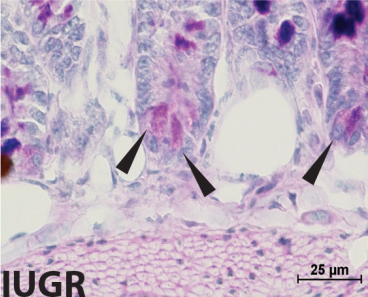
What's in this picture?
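This is the base of intestinal crypts with a few Paneth cells. The marked cells lie at the crypt bottoms and contain magenta granular material in their cytoplasm. The other epithelial cells have bluish-grey nuclei and pale cytoplasm, and open clear spaces separate neighbouring crypts. Below the crypts runs a pink layer of muscle with small dark nuclei.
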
